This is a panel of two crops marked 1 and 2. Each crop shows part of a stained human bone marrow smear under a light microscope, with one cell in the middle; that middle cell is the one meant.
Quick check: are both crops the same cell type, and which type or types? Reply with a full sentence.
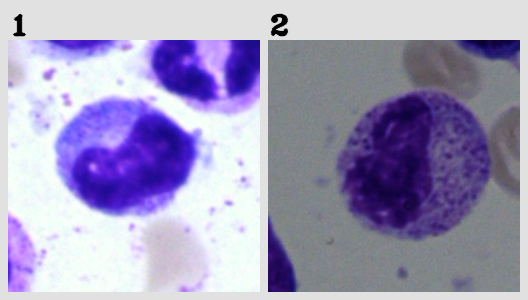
Yes, both of the crops in this pair show metamyelocytes, one cell in each crop.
